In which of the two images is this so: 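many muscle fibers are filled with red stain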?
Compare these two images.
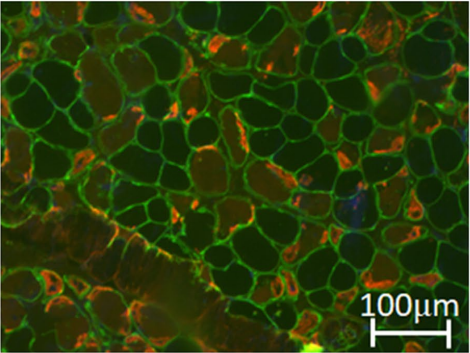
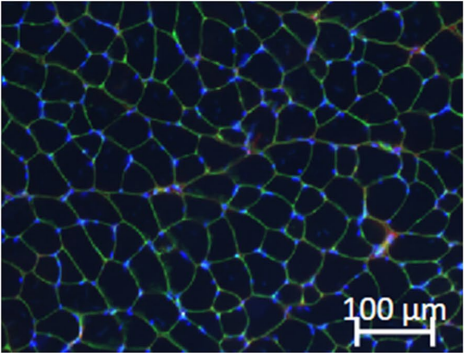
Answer: The first image.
